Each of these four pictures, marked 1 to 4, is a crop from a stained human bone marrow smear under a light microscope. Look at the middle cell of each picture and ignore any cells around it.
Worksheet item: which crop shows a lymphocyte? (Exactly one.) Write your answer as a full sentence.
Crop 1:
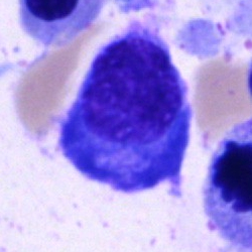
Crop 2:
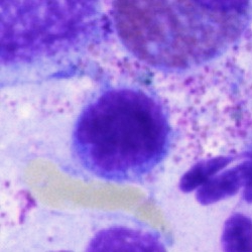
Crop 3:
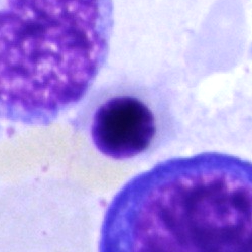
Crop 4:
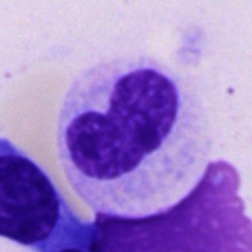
It is crop 2, not any other, that shows a lymphocyte.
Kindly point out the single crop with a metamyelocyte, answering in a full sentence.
Look at crop 4; that is the one with a metamyelocyte in its center.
